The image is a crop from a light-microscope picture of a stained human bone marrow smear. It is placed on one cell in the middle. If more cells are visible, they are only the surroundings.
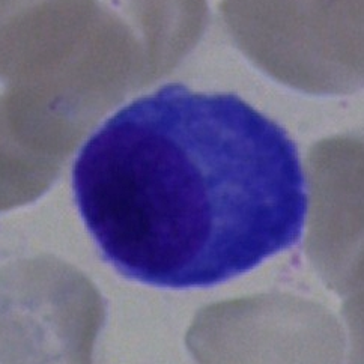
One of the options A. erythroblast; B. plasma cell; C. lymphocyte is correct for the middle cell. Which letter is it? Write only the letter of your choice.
B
